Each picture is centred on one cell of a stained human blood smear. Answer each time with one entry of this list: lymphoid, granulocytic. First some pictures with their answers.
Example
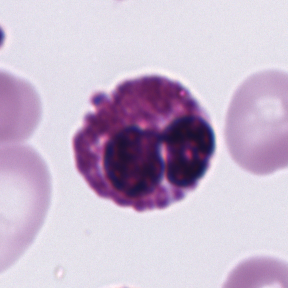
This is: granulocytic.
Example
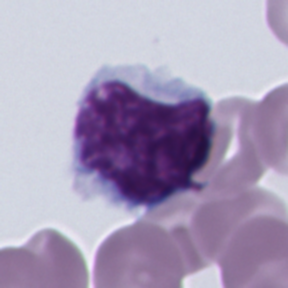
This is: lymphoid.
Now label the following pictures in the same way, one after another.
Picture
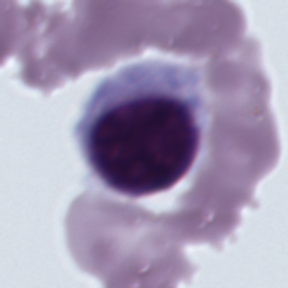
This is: lymphoid.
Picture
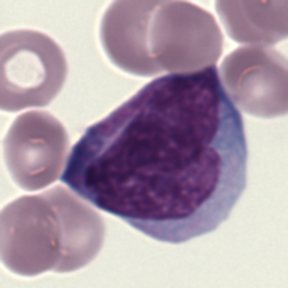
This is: granulocytic.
